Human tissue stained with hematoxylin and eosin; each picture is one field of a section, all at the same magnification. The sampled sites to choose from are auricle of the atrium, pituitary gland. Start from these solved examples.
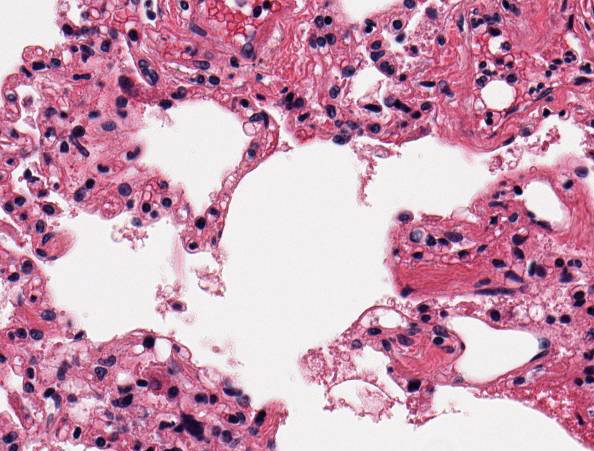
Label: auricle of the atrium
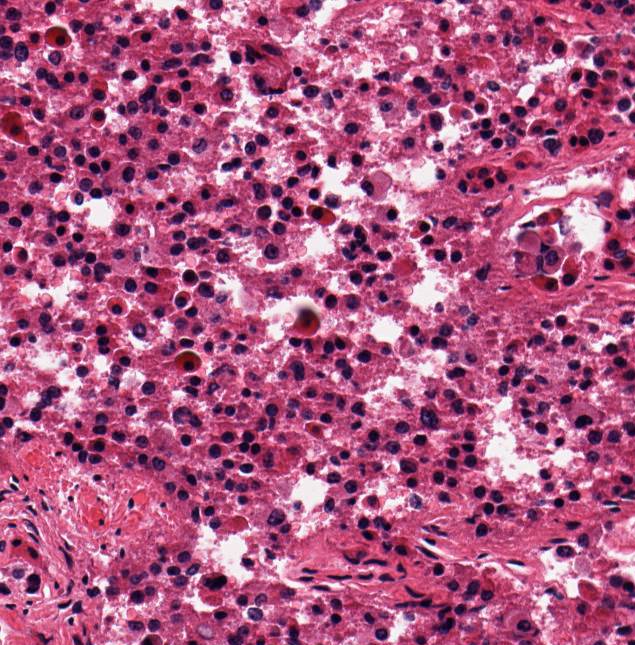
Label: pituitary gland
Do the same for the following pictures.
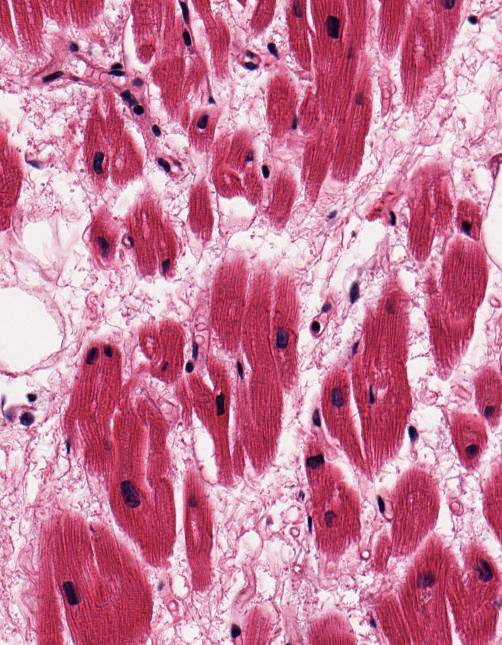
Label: auricle of the atrium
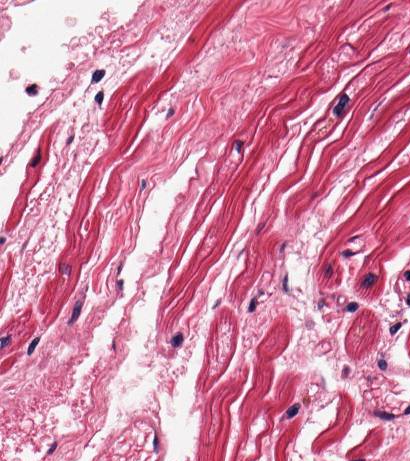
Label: auricle of the atrium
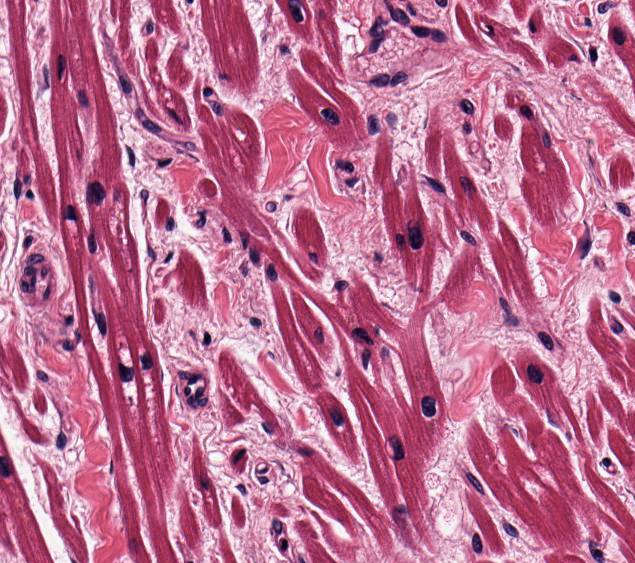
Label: auricle of the atrium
